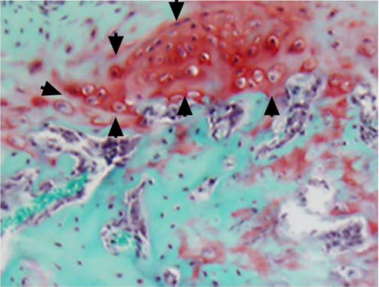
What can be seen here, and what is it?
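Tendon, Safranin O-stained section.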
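This section shows cartilage, with rounded cells sitting in lacunae inside strongly red-stained matrix. The cartilage borders green-stained bone, which contains small scattered cells. Cell-rich spaces with dark nuclei lie along the junction between the two, where the cartilage meets the bone. The field looks like a transition from cartilage into bone.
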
